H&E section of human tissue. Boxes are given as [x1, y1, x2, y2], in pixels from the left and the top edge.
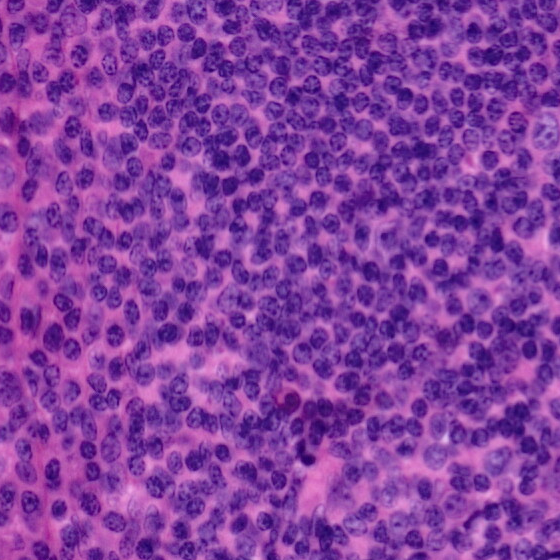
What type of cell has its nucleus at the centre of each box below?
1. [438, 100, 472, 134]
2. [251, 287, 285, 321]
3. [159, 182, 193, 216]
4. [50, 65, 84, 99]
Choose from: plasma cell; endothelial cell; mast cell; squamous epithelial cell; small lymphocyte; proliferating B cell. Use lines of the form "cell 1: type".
cell 1: small lymphocyte
cell 2: small lymphocyte
cell 3: small lymphocyte
cell 4: plasma cell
